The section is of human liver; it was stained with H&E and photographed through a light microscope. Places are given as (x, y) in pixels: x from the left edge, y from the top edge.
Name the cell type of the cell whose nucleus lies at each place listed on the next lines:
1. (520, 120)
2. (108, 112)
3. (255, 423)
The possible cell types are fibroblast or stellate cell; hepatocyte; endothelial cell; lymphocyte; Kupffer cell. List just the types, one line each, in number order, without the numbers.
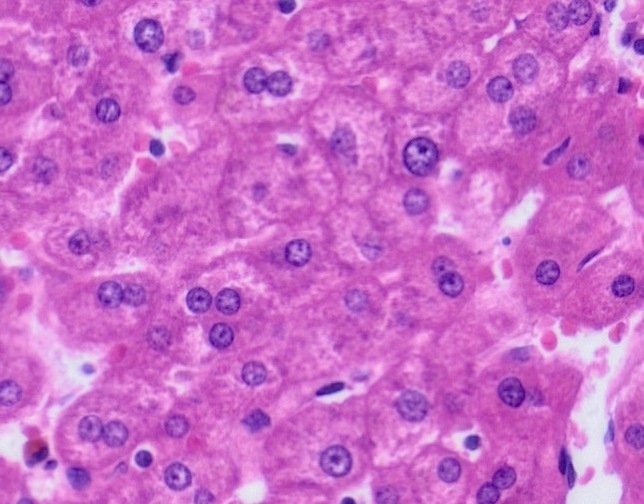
hepatocyte
hepatocyte
endothelial cell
